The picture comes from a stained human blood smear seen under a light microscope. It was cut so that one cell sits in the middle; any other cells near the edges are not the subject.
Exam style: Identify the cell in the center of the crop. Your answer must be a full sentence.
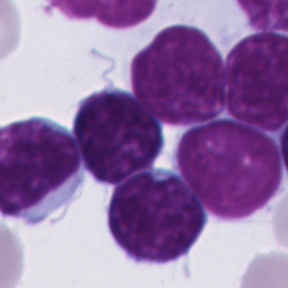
The cell the crop is centered on is a blast.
